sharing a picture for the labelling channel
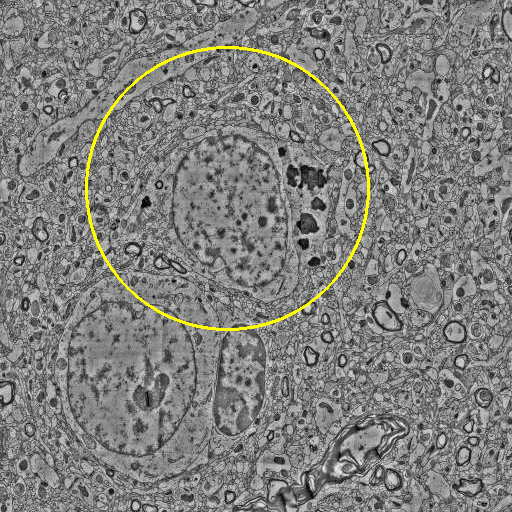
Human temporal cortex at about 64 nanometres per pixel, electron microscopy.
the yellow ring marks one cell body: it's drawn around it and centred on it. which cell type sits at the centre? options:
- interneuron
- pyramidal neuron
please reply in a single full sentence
In the picture, the cell at the ring's centre is an interneuron, going by the list.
